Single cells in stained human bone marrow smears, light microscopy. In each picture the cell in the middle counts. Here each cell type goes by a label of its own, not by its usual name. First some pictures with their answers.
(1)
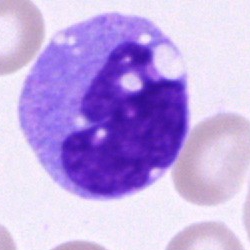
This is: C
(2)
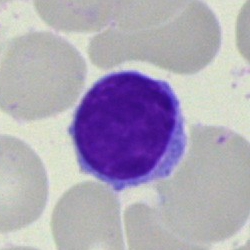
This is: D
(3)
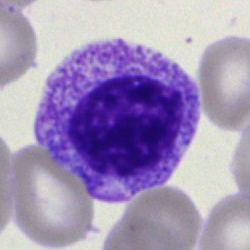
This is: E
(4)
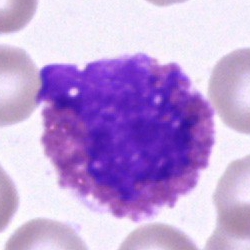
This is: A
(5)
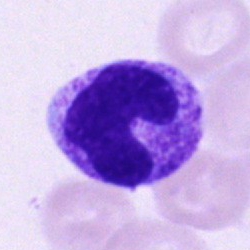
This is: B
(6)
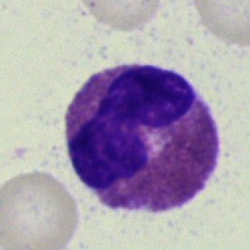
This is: A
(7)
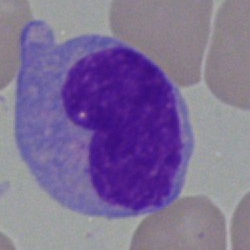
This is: C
